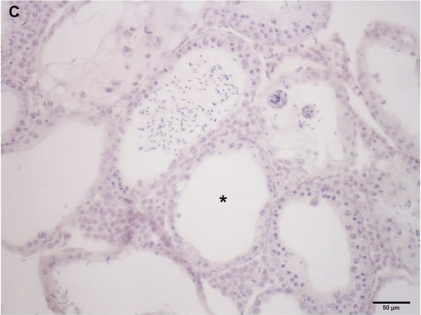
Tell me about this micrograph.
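This is testis with seminiferous tubules in a severely damaged state. Many tubules have wide, mostly empty lumina lined by only a thin layer of cells, without the usual stacked layers of germ cells. One lumen contains loose detached cells and scattered dark sperm heads, consistent with shed germ cells. Between the tubules the interstitium holds clusters of small dark nuclei.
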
